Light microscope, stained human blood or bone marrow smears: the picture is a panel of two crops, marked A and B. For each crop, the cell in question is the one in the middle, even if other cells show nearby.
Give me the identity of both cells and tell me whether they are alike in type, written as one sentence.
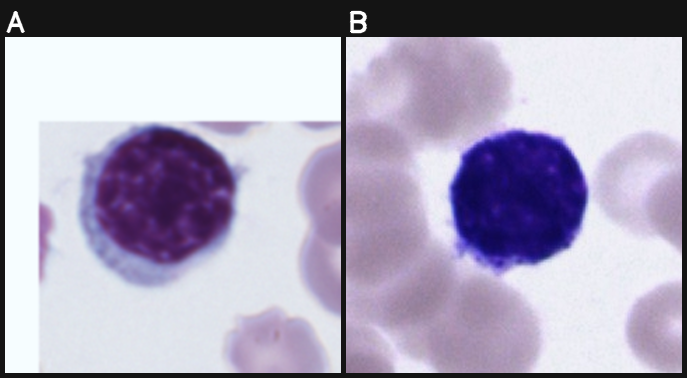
Yes, lymphocytes are seen in both crops.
